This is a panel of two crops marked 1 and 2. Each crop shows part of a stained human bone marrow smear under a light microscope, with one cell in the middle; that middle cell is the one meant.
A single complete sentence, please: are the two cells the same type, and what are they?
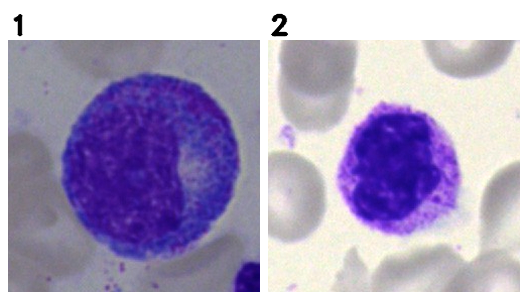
No, the cell that crop 1 shows is a promyelocyte, and the one crop 2 shows is a basophil.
